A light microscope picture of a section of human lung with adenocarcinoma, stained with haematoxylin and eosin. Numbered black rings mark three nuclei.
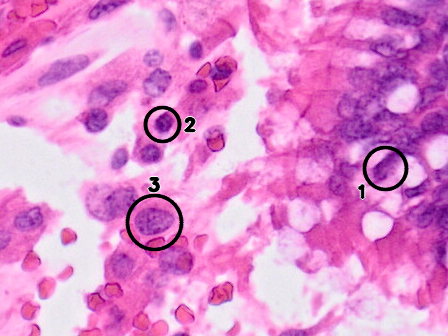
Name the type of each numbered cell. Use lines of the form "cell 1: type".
cell 1: ciliated epithelial cell
cell 2: lymphocyte
cell 3: macrophage or monocyte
